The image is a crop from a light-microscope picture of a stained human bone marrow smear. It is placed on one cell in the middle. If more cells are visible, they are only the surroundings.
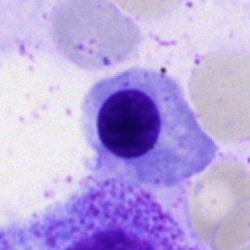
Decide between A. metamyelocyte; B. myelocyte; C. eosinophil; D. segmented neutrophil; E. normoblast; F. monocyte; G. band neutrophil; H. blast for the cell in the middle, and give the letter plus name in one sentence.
That cell in the center is a normoblast, hence option E.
